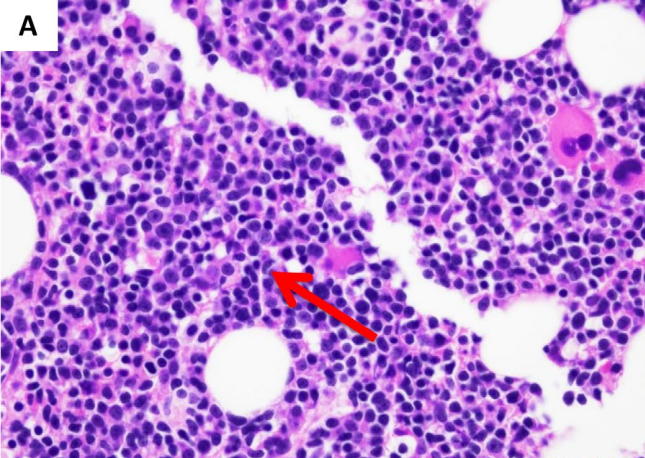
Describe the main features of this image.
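This is a highly cellular bone marrow, crowded mostly with small lymphocytes. These small cells have round, dark purple nuclei with clumped chromatin and only a thin rim of cytoplasm, and they look much alike from one to the next. Among them, at the upper right, lie a few megakaryocytes, very large cells with abundant pink cytoplasm and dense, lobed nuclei. Round empty spaces are fat cells, and there are few of them for the amount of cells packed between. Here and there, cells with pinker cytoplasm stand out from the sea of small lymphocytes, the remaining marrow precursors.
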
